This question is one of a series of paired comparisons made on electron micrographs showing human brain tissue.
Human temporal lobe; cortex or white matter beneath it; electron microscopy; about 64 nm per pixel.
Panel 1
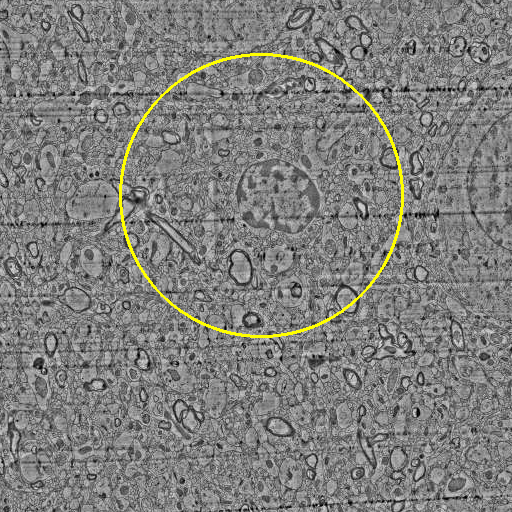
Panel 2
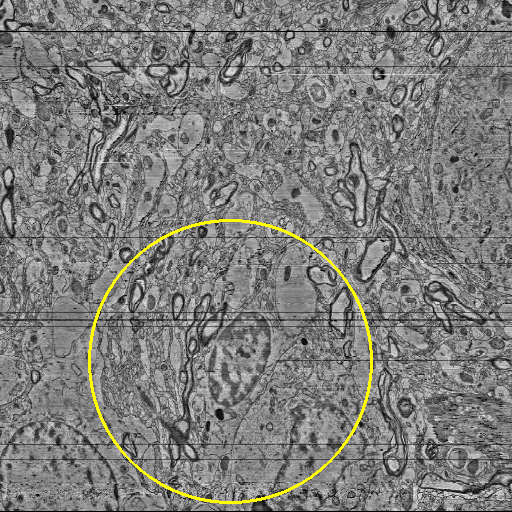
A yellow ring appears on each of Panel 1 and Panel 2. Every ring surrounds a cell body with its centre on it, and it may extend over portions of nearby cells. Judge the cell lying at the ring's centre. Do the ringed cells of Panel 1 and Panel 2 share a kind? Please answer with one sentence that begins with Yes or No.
Yes, the ring-centre cell in Panel 1 and the one in Panel 2 are of one kind.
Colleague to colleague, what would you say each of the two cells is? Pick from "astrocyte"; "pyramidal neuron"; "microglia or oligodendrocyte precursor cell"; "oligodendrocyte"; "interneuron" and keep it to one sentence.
Each of the two rings is centred on a microglial cell or oligodendrocyte precursor cell.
